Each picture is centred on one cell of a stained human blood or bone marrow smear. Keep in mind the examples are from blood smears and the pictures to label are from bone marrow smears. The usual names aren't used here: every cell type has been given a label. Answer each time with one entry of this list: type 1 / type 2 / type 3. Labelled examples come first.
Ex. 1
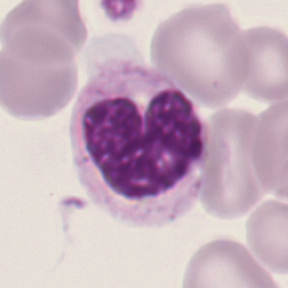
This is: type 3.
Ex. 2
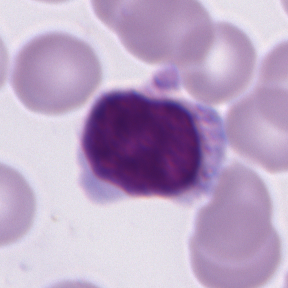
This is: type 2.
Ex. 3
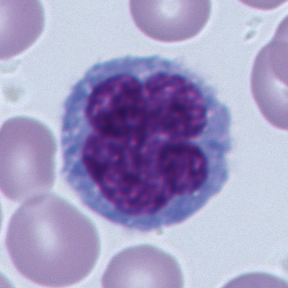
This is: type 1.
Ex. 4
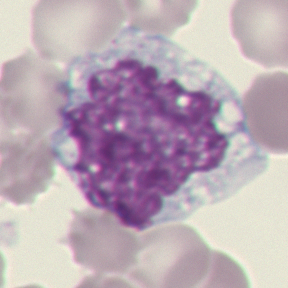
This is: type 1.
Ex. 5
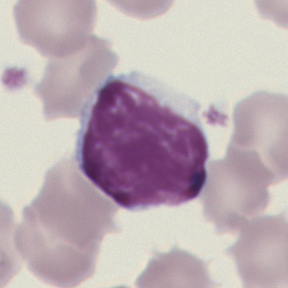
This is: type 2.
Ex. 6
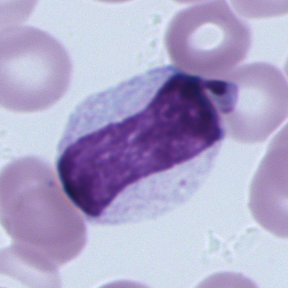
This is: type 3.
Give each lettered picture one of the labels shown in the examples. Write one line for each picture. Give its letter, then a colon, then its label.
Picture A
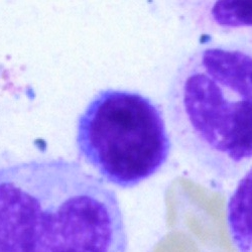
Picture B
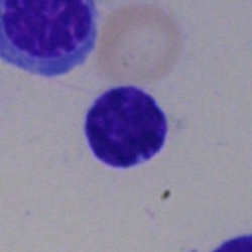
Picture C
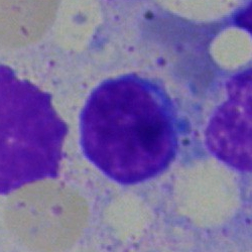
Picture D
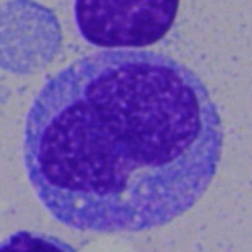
A: type 2.
B: type 2.
C: type 2.
D: type 1.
